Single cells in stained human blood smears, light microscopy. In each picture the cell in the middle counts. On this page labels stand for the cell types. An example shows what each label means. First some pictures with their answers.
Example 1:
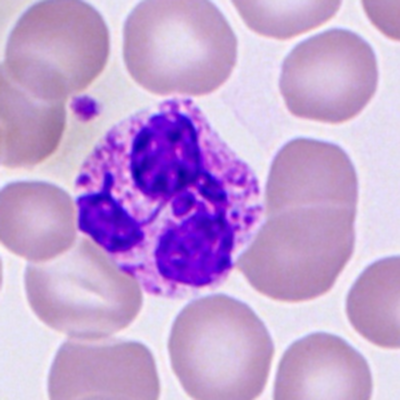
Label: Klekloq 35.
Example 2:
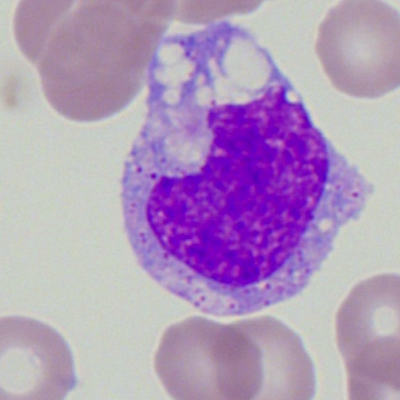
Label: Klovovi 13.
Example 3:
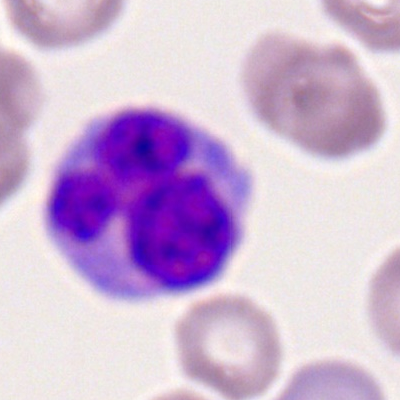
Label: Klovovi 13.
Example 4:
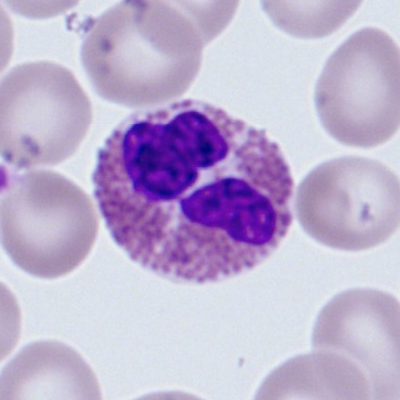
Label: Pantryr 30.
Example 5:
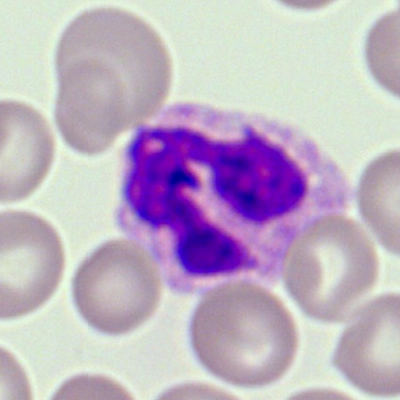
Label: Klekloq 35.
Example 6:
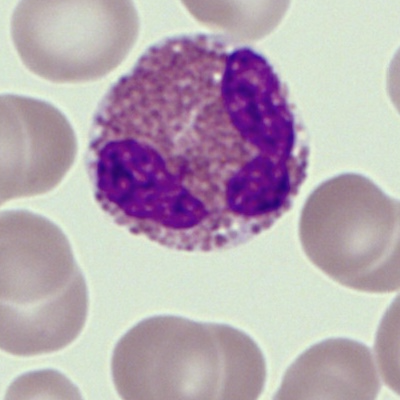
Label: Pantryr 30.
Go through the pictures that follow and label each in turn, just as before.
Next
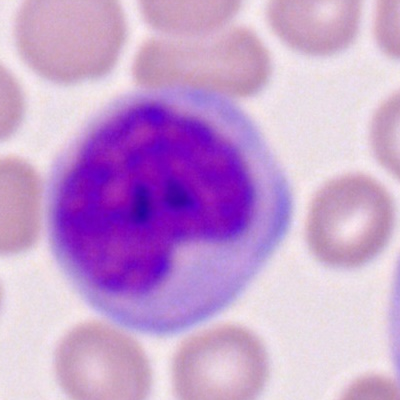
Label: Klovovi 13.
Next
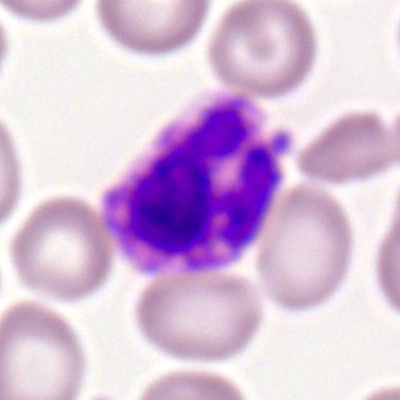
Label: Klekloq 35.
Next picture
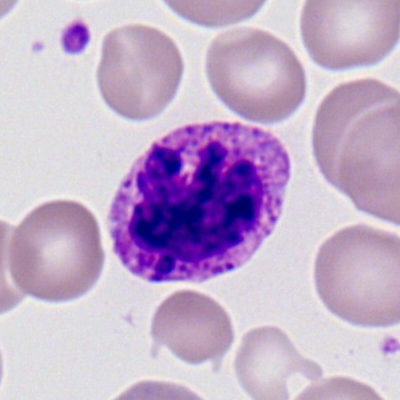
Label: Klekloq 35.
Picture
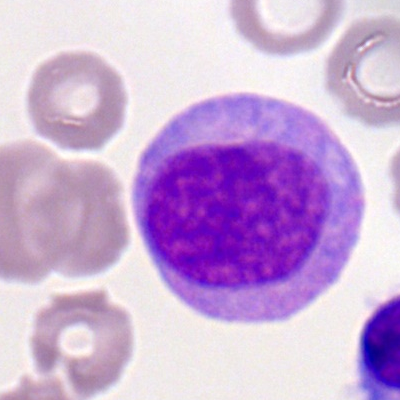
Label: Klovovi 13.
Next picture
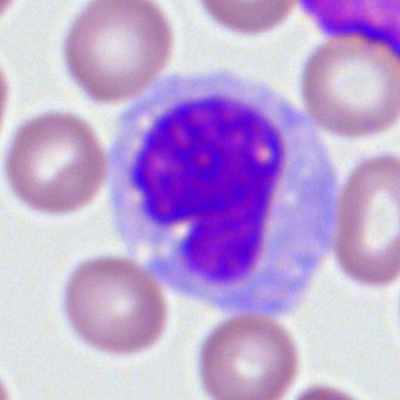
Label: Klovovi 13.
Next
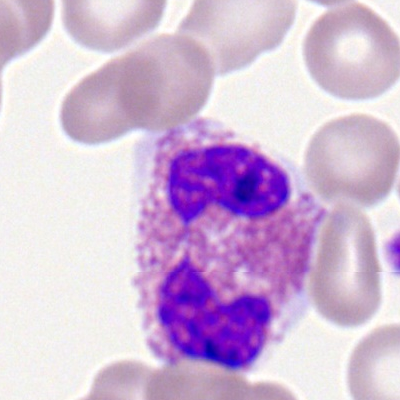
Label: Pantryr 30.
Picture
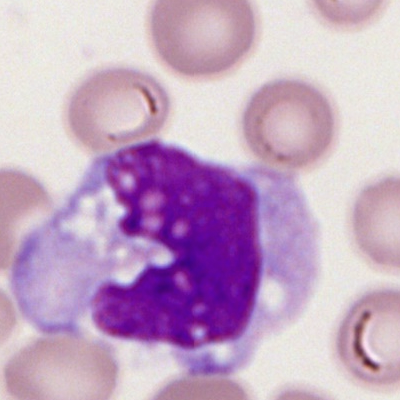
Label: Klovovi 13.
